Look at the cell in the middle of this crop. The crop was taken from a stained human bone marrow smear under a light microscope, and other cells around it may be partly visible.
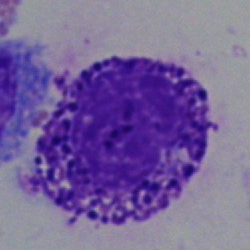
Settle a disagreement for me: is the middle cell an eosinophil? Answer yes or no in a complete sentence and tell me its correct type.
No; rather than an eosinophil, the cell at the center is a basophil.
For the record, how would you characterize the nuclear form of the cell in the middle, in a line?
Between us, the nucleus here is just one compact mass, round, oval or kidney-shaped.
